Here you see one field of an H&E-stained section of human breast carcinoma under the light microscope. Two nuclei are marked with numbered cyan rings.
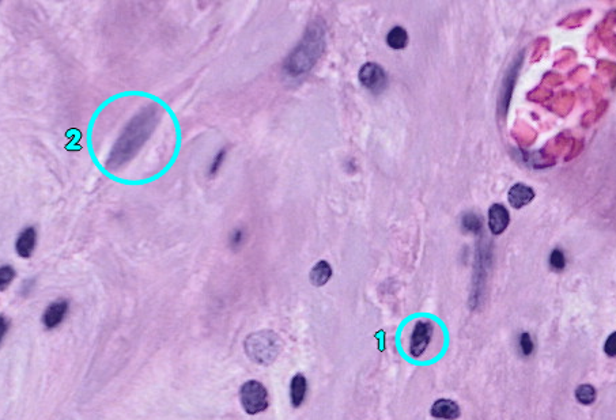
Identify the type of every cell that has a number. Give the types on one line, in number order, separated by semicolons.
lymphocyte; fibroblast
